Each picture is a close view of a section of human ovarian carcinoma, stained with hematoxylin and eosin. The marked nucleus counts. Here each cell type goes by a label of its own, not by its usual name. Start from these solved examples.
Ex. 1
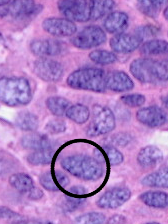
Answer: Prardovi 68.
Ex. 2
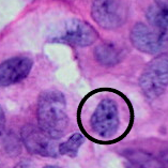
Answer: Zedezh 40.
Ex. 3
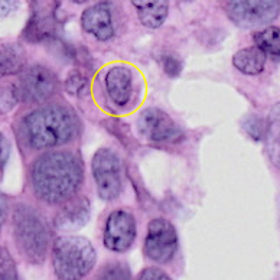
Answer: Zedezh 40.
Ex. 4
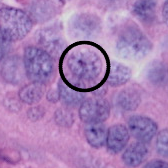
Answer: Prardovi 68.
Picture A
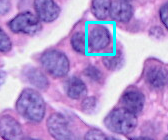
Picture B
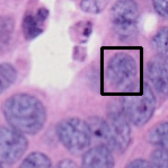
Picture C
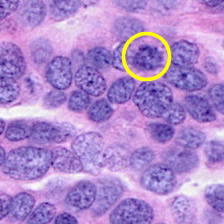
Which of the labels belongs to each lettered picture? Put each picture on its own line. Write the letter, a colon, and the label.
A: Prardovi 68.
B: Prardovi 68.
C: Prardovi 68.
